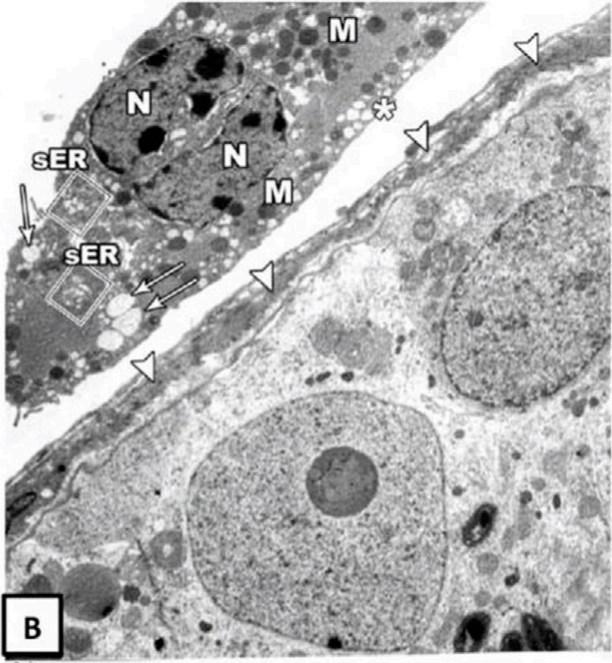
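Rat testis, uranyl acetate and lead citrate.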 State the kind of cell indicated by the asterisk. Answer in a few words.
Leydig cell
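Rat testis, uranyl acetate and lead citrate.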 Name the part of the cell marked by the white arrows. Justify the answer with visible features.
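The arrows point to pale, round, homogeneous bodies in the cytoplasm. These bodies have no internal membranes. The answer: lipid droplets.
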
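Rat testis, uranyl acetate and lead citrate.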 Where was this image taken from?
Interstitium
